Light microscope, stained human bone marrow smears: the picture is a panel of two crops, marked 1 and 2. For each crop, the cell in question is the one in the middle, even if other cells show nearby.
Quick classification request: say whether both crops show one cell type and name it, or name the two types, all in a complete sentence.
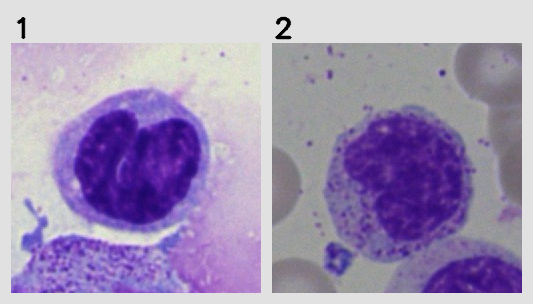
No, crop 1 depicts a monocyte; crop 2 depicts a myelocyte.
